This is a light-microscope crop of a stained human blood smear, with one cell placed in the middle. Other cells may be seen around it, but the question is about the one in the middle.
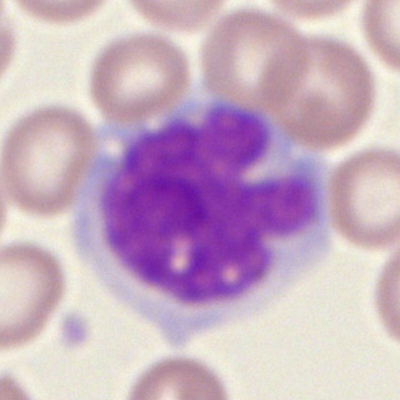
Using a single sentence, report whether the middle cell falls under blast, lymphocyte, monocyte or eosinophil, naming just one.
For this crop, the cell in the middle is a monocyte.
